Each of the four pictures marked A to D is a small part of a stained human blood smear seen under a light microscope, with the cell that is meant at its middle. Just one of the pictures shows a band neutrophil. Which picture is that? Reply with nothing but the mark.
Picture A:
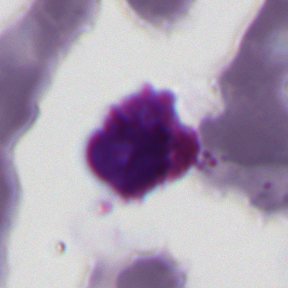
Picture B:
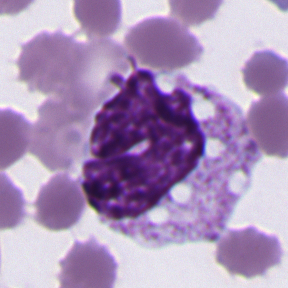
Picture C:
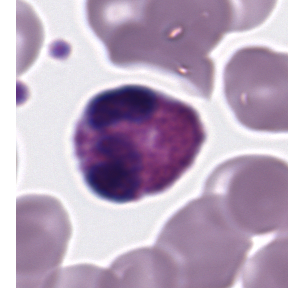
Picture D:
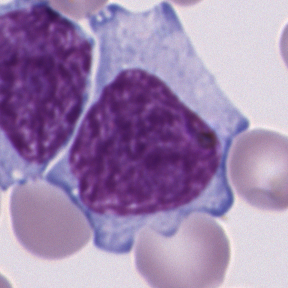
B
